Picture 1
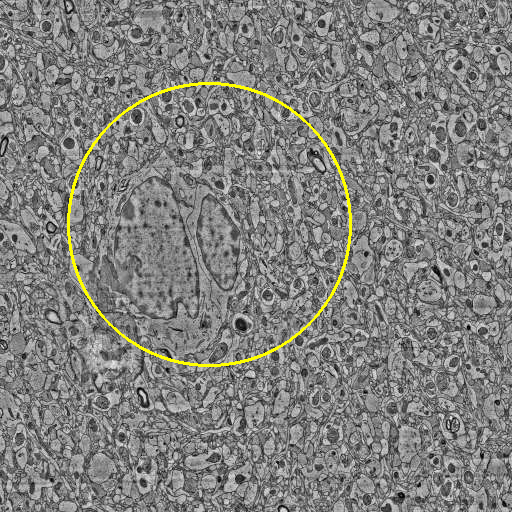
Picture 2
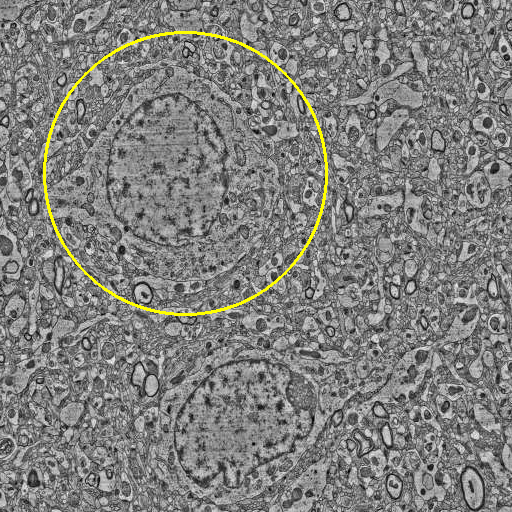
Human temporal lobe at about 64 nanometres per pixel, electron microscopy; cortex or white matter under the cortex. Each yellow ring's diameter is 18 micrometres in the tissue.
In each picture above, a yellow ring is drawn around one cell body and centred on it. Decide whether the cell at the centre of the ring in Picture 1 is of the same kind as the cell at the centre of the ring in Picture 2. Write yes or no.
no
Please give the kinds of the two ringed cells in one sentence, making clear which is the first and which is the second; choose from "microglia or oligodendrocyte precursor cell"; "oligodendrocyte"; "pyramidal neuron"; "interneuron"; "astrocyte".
In the second picture the ringed cell is an interneuron; in the first it is a microglial cell or oligodendrocyte precursor cell.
